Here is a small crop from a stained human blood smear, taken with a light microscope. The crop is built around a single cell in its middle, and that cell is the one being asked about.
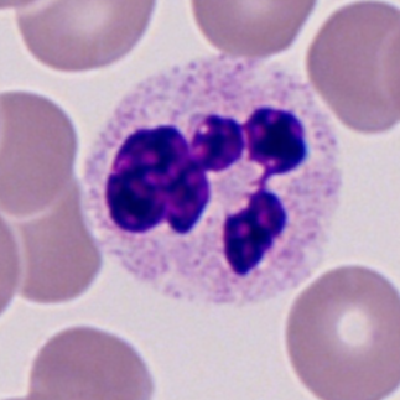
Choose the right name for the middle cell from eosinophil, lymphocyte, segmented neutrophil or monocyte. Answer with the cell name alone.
segmented neutrophil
